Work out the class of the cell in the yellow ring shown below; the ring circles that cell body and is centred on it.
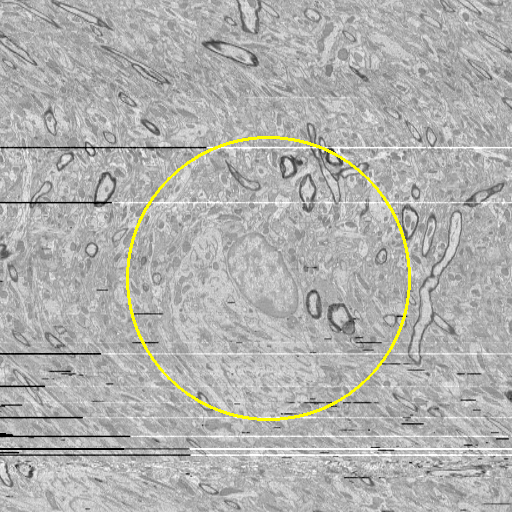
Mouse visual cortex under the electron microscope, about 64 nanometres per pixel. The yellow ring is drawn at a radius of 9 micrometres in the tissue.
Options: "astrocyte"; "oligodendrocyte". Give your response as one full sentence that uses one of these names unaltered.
The body ringed in yellow, right at the ring's centre, is that of an oligodendrocyte.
